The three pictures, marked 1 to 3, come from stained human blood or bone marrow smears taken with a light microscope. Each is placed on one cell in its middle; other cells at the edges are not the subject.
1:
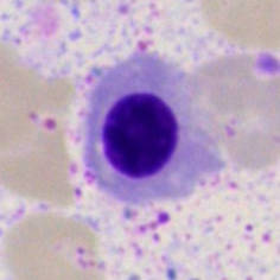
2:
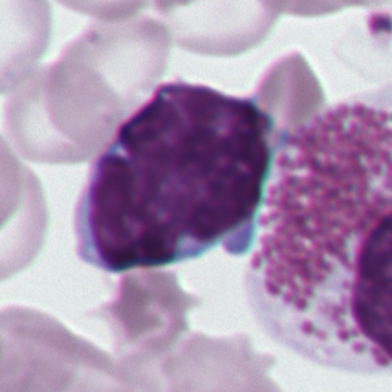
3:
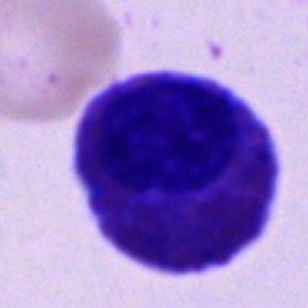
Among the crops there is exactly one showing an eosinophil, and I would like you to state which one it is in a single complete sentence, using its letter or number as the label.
Among the crops provided, an eosinophil occupies the center of crop 3.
